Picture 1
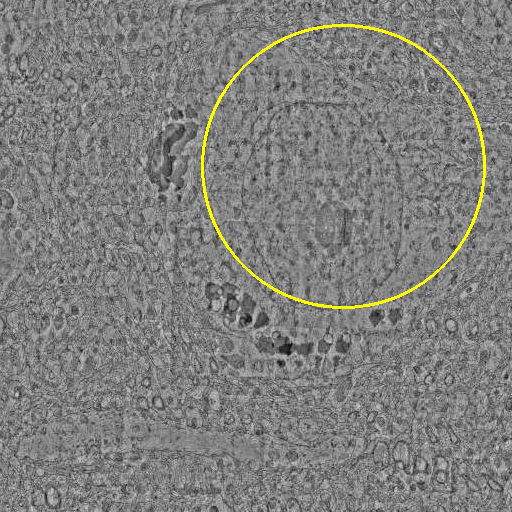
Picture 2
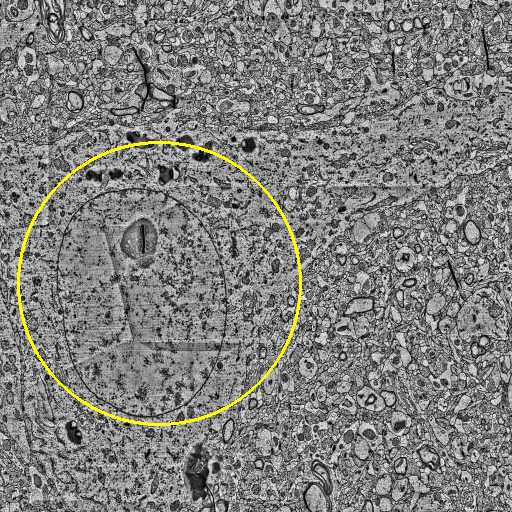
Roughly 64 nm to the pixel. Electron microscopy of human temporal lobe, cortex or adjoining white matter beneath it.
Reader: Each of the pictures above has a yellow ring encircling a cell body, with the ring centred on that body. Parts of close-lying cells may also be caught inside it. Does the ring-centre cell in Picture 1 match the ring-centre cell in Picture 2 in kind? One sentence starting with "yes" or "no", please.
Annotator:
Yes, Picture 1 and Picture 2 show ring-centre cells of a single kind.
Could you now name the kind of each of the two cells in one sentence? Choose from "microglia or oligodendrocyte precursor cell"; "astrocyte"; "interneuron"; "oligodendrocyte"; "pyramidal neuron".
Both rings mark a pyramidal neuron, one in each picture.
